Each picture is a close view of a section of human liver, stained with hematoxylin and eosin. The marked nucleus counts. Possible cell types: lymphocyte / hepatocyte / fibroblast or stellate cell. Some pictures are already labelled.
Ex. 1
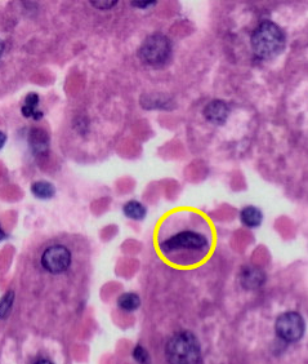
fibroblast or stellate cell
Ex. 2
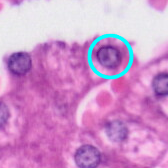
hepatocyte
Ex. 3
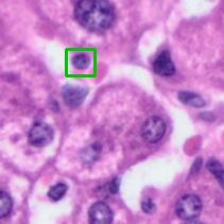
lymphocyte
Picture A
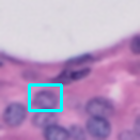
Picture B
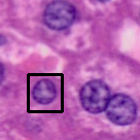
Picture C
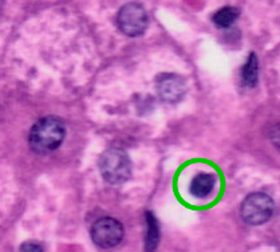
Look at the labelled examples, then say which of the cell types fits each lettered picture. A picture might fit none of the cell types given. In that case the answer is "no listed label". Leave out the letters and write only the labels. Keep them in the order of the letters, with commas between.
no listed label, hepatocyte, lymphocyte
